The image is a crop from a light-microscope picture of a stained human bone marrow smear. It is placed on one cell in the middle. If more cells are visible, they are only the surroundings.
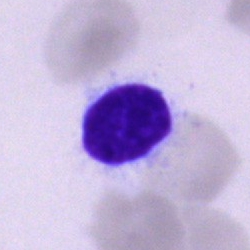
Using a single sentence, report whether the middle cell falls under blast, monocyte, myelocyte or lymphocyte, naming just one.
This crop is built around a lymphocyte at its centre.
